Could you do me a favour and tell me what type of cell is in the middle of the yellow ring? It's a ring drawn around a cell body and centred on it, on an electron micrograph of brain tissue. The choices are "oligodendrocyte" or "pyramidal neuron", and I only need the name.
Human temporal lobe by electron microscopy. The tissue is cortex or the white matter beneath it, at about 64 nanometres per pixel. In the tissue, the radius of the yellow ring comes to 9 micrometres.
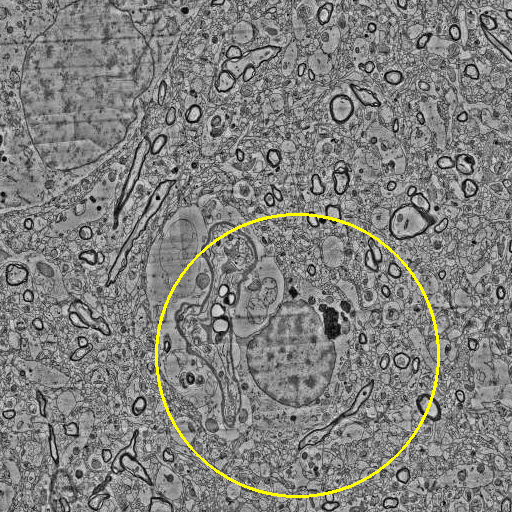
oligodendrocyte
